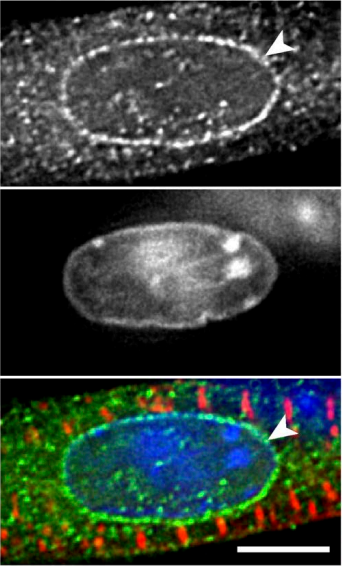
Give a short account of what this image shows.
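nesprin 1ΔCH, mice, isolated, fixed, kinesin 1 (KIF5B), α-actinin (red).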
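A skeletal muscle fiber is seen with a large oval nucleus lying flat within it. Around the nucleus the green label forms a thin, continuous bright line hugging its edge, the nuclear envelope, pointed out by a white arrowhead, while the rest of the cytoplasm carries fine green speckles. The blue nuclear stain shows mottled chromatin with a few brighter clumps. Red cross-bands repeat at regular intervals across the fiber beside the nucleus, the striations of the contractile apparatus, marking this as striated muscle.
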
